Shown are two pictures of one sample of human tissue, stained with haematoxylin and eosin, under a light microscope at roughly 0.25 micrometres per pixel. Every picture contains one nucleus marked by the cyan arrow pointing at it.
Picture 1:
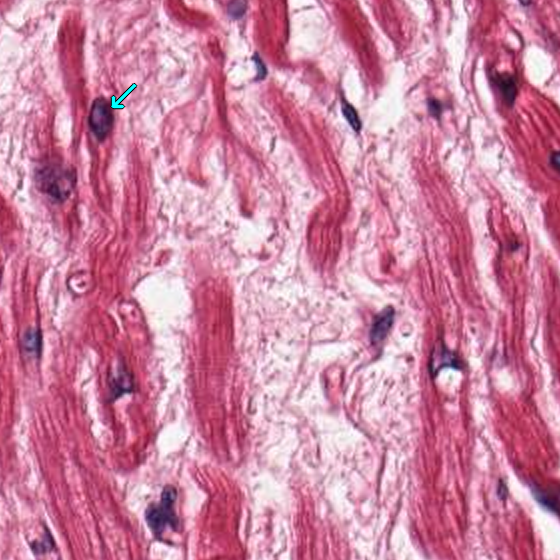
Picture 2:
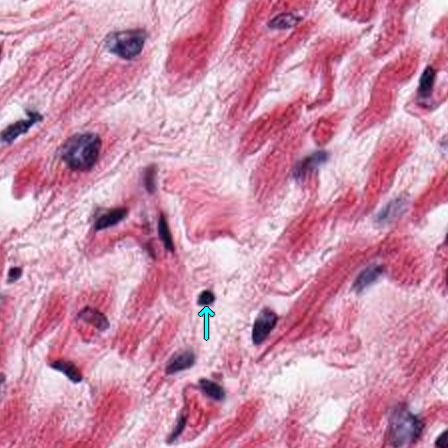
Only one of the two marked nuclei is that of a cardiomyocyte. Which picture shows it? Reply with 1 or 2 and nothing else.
1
